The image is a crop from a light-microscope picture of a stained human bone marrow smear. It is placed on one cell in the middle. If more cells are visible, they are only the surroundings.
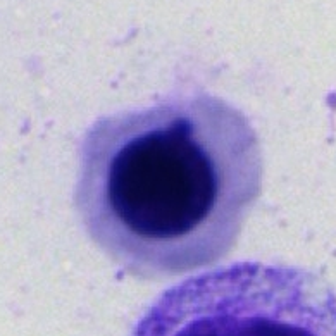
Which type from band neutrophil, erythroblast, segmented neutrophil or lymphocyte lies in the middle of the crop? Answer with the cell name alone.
erythroblast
